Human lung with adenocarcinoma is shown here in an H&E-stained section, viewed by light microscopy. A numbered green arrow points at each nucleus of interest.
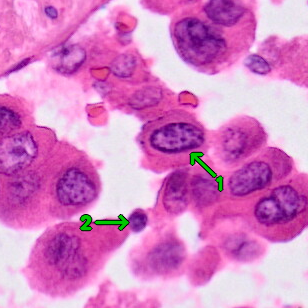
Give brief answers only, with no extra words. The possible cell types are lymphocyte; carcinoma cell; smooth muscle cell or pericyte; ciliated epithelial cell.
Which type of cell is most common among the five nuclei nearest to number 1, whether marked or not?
carcinoma cell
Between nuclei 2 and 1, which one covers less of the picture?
2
